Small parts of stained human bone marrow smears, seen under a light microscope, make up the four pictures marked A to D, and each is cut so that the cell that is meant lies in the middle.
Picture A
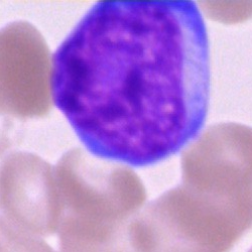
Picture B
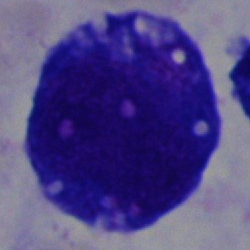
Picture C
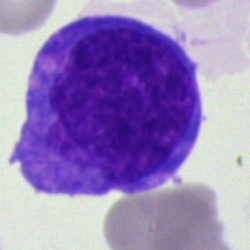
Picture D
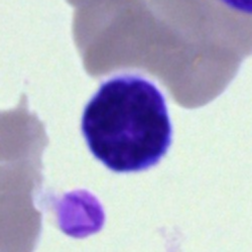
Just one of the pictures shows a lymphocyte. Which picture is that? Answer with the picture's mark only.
D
